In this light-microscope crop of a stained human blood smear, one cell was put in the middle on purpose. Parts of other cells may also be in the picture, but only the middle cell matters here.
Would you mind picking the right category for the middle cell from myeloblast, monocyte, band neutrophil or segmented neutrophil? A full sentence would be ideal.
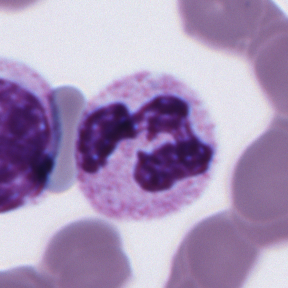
On this slide crop, the central cell is a segmented neutrophil.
